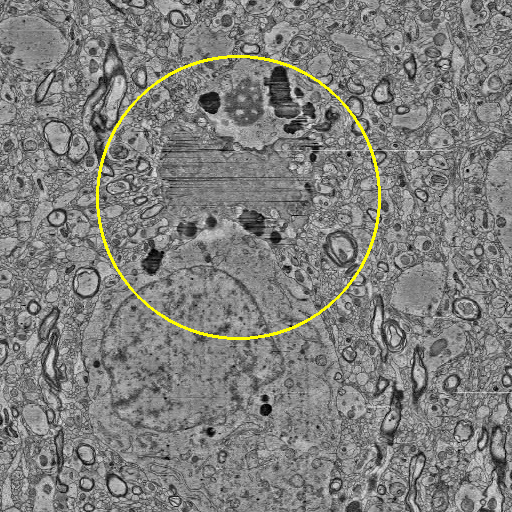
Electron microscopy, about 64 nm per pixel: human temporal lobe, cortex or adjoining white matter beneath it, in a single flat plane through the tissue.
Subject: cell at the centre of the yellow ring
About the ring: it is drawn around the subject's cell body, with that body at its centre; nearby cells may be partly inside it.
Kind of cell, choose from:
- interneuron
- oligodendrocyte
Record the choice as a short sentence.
The subject cell is an interneuron.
